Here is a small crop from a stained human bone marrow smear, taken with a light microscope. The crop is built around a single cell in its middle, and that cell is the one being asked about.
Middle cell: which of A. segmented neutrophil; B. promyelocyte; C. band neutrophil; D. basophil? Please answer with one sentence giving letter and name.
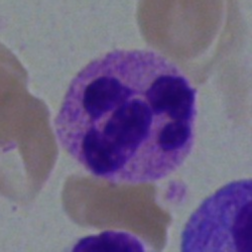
Option A stands as correct, the central cell being a segmented neutrophil.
